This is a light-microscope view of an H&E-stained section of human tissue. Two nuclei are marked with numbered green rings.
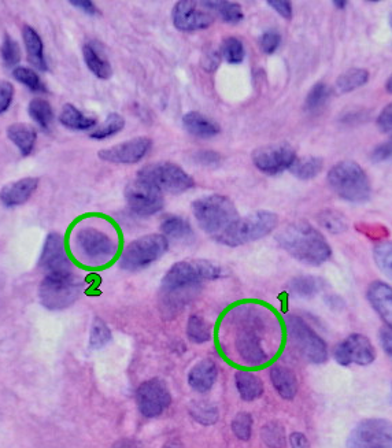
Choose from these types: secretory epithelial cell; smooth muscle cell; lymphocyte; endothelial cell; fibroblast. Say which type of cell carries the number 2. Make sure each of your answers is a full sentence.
The one labeled 2 is a fibroblast, to put it simply.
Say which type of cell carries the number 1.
To a secretory epithelial cell belongs the nucleus marked 1.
